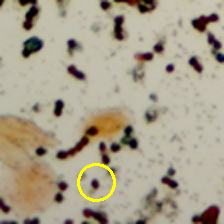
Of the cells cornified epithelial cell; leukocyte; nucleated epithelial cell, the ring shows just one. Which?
The ring shows a leukocyte.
